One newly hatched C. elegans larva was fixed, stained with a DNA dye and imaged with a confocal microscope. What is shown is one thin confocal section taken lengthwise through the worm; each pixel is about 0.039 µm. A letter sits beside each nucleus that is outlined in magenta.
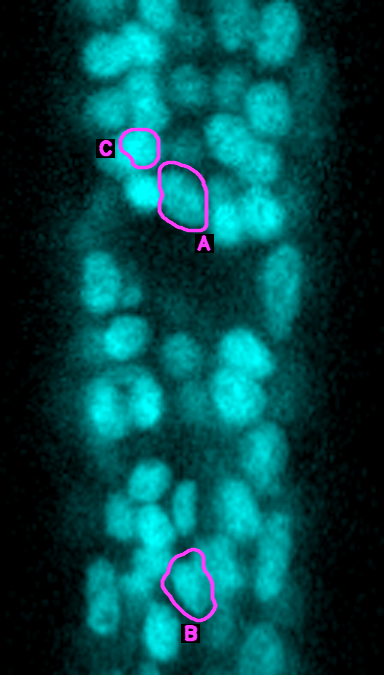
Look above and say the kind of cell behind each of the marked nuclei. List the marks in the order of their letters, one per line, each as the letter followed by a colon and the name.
A: GLR cell
B: pharyngeal muscle cell
C: neuron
